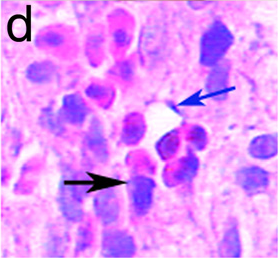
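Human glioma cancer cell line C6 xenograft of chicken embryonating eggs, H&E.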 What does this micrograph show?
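Densely packed tumor cells around a small vessel, with nucleated red blood cells. Many cells have round to oval, dark purple nuclei, and some have bright pink cytoplasm. A small clear gap marks the lumen of a narrow channel, and cells crowd directly around it. No thick wall or distinct layered lining is seen; the channel is bordered by closely set cells.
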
